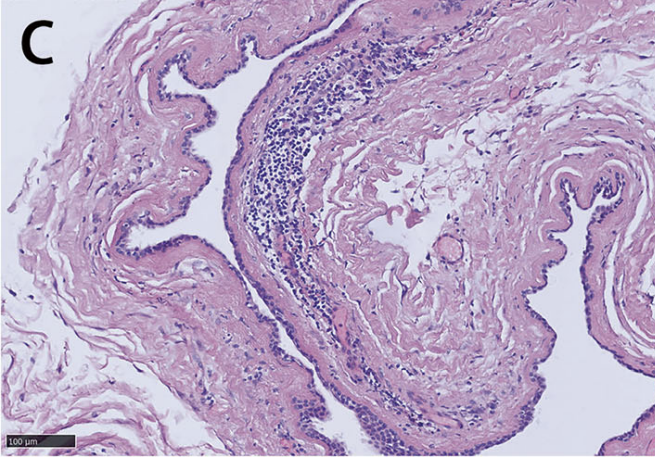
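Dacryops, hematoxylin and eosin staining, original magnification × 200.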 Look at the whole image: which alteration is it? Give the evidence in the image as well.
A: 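A band of many small, round, dark-staining nuclei lies in the wall beneath the epithelial lining. That points to this answer: chronic inflammatory cell infiltration.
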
